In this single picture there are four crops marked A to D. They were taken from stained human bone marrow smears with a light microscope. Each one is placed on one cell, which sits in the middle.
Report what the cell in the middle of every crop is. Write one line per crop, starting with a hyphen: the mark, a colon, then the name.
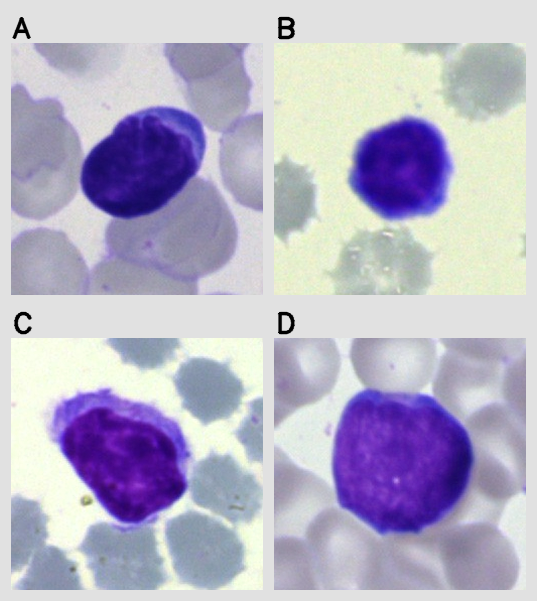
- A: lymphocyte
- B: lymphocyte
- C: lymphocyte
- D: blast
